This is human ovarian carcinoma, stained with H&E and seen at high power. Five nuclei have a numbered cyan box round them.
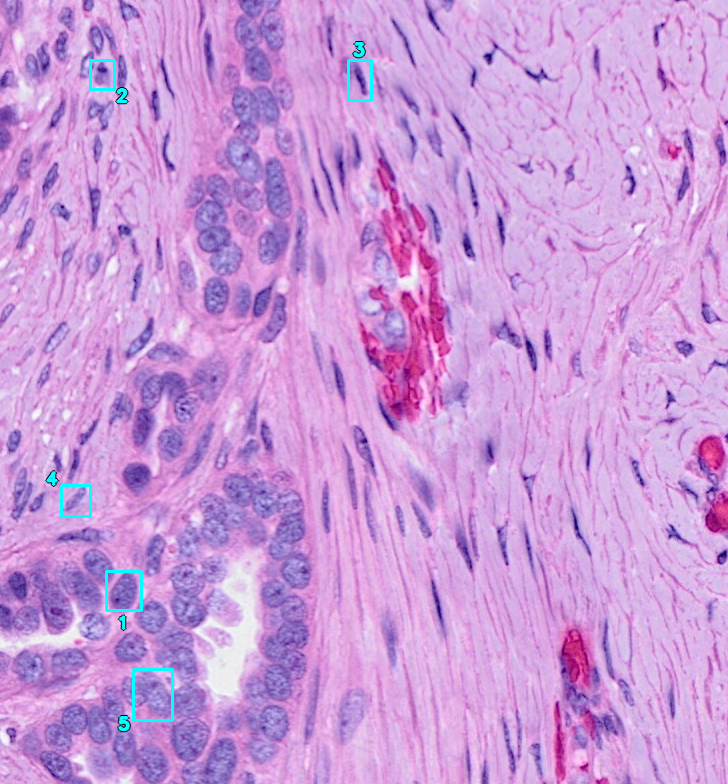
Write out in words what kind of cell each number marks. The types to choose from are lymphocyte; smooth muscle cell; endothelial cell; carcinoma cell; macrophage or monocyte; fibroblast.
Cell 1 is a carcinoma cell, cell 2 is a fibroblast, cell 3 is a fibroblast, cell 4 is a fibroblast and cell 5 is a carcinoma cell.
